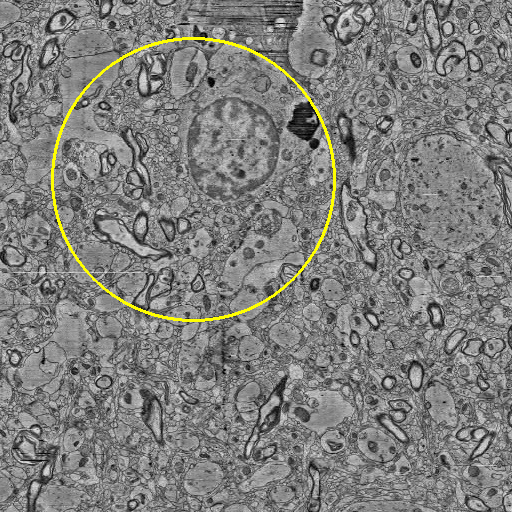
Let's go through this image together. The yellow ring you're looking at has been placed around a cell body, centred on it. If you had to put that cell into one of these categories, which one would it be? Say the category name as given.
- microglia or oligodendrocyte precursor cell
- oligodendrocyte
oligodendrocyte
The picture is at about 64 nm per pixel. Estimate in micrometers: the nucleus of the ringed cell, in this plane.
About 7 by 6 micrometers for the nucleus, in this plane.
